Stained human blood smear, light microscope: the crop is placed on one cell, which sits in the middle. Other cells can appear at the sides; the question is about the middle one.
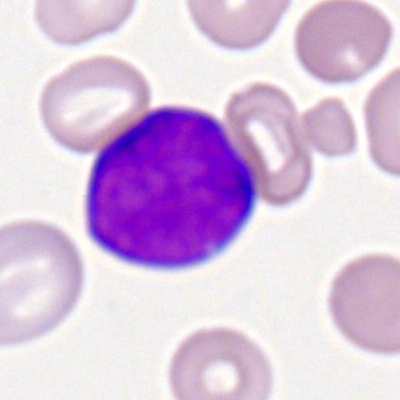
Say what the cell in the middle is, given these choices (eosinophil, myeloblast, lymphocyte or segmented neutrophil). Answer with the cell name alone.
myeloblast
